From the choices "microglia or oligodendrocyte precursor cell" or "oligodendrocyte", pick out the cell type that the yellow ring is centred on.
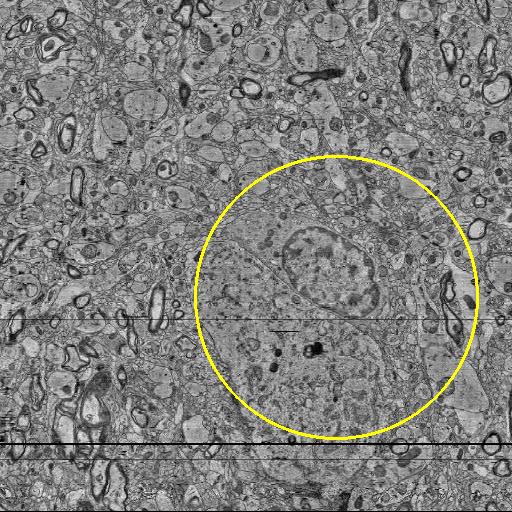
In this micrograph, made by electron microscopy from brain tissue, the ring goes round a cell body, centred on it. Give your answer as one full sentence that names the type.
The yellow ring is centred on an oligodendrocyte, whose cell body it encircles in the picture.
